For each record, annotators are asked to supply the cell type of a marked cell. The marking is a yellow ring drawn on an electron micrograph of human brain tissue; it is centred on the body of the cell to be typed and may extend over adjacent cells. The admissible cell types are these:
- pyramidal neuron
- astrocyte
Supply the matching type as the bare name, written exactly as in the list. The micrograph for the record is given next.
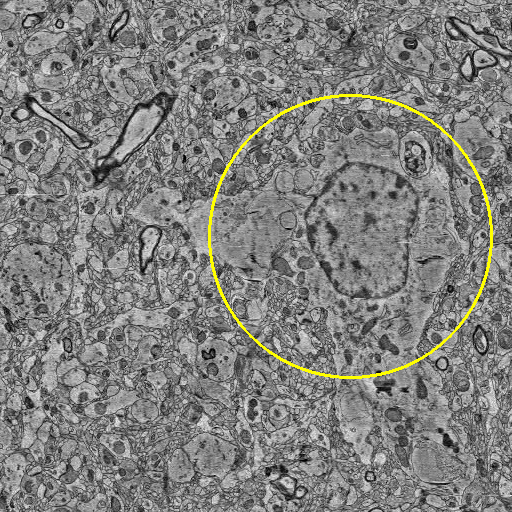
astrocyte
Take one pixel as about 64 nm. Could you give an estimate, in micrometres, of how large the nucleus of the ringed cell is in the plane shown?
About 9 by 7 micrometers, in this plane.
